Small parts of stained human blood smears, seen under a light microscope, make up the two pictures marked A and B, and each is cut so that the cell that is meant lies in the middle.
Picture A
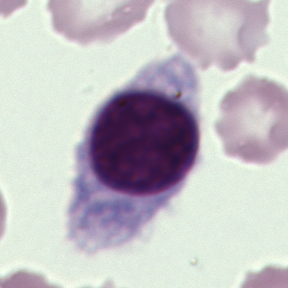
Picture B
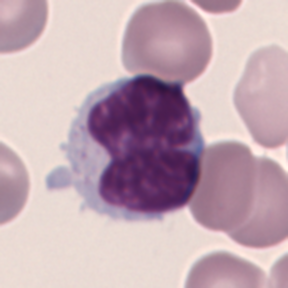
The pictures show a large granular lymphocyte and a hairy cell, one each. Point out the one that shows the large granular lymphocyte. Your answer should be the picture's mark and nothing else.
B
